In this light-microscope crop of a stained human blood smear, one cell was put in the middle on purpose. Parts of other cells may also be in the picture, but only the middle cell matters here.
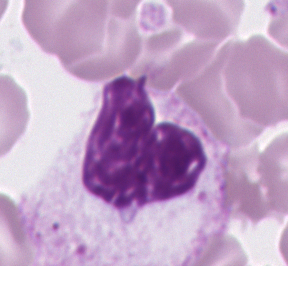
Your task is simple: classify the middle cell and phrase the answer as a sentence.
The cell centred in this crop is categorized as a segmented neutrophil.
